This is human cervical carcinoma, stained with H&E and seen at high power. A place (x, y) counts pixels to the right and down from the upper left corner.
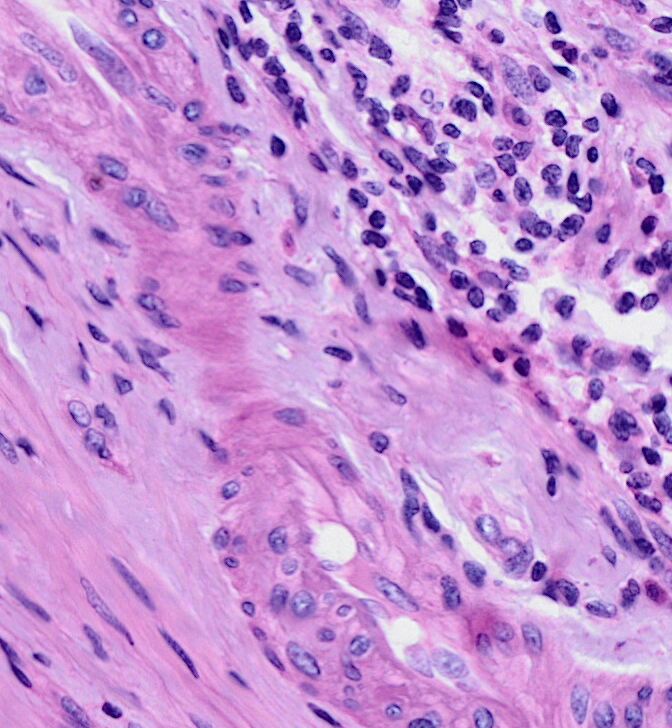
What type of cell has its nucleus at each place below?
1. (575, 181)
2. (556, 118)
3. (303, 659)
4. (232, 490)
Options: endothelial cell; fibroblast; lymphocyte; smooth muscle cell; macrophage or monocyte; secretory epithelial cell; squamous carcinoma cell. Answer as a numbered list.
1. lymphocyte
2. lymphocyte
3. smooth muscle cell
4. smooth muscle cell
